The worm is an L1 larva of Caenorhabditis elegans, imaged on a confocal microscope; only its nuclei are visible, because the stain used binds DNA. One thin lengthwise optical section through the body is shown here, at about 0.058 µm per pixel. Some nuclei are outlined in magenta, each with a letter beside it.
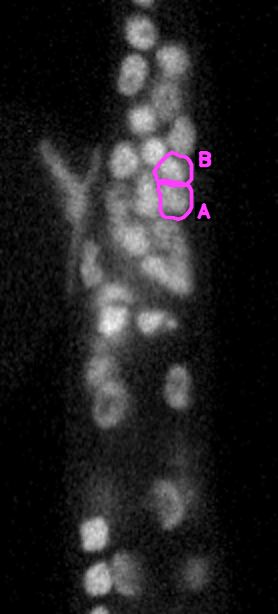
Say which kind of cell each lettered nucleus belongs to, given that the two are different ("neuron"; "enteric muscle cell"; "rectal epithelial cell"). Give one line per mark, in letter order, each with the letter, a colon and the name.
A: enteric muscle cell
B: neuron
